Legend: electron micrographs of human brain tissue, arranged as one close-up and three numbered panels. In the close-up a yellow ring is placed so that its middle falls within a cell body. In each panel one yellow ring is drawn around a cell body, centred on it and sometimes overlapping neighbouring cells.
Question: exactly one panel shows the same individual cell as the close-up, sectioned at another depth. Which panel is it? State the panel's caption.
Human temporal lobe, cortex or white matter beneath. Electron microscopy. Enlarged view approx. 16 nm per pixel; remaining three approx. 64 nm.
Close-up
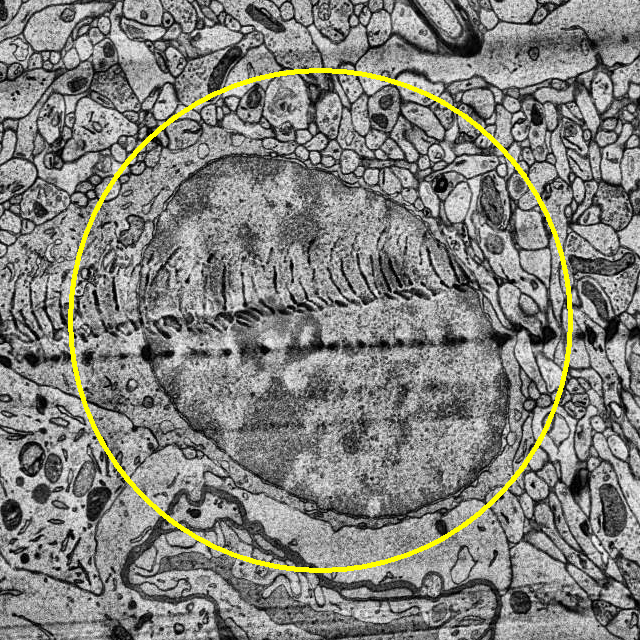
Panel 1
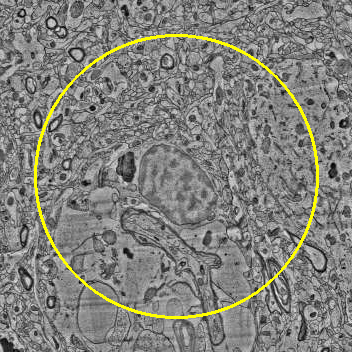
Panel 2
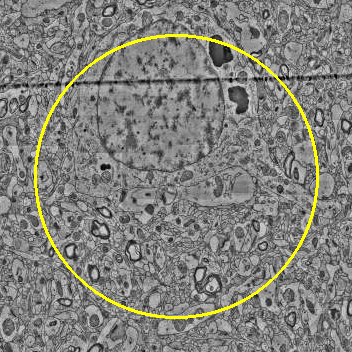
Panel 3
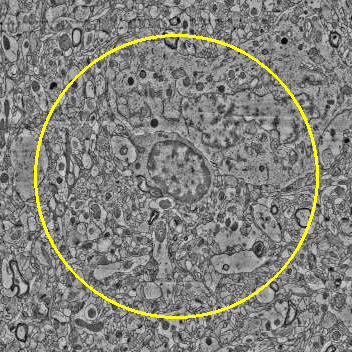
Panel 1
